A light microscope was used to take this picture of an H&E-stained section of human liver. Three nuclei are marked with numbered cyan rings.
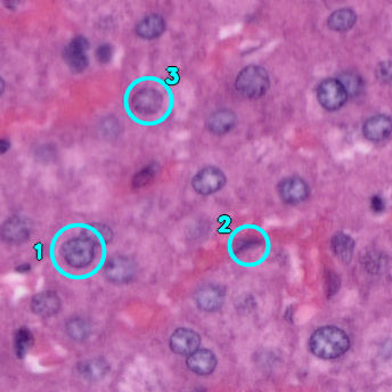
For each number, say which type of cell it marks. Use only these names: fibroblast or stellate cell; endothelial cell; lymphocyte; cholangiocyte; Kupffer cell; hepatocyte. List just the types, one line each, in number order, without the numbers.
hepatocyte
endothelial cell
hepatocyte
